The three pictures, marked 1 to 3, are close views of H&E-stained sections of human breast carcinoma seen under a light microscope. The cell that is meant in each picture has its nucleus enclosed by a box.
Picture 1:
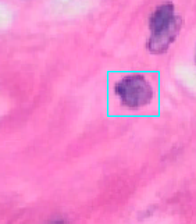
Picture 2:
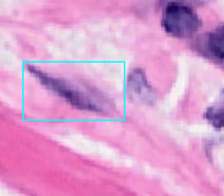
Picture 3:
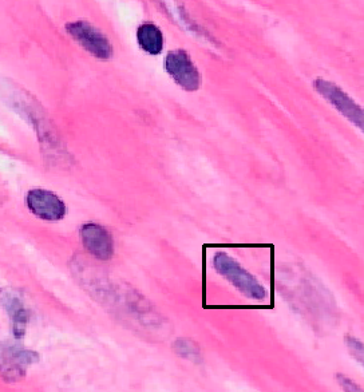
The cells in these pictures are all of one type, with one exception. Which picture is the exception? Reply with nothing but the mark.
2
